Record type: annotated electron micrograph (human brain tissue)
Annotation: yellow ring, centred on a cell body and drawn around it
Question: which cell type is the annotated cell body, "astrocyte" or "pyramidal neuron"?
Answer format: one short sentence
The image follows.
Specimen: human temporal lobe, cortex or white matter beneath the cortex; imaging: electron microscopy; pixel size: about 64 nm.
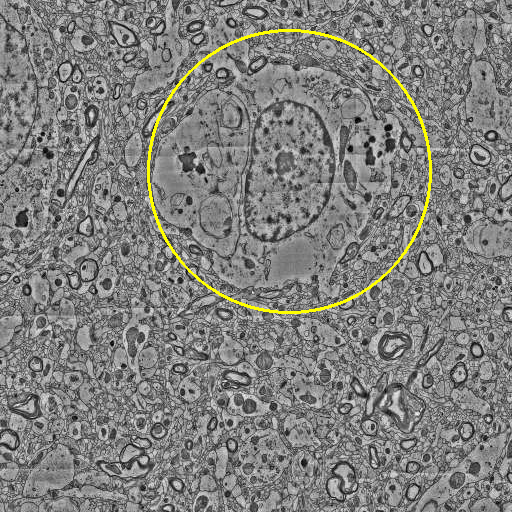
The annotated cell body is that of an astrocyte.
